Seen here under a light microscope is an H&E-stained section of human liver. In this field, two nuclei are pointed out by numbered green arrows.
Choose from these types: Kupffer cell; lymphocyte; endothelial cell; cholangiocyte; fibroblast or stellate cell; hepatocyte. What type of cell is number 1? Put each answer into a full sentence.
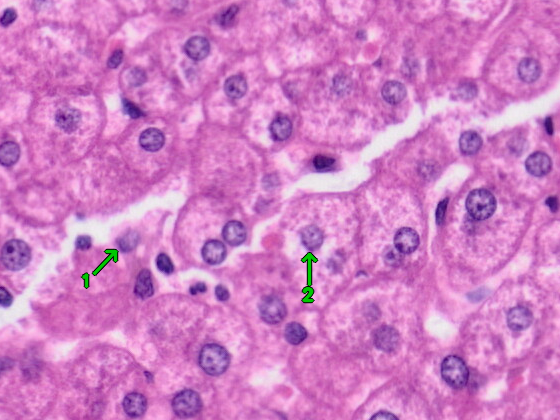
The cell given label 1 is a Kupffer cell.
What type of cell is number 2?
Cell 2 in the field is a hepatocyte.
